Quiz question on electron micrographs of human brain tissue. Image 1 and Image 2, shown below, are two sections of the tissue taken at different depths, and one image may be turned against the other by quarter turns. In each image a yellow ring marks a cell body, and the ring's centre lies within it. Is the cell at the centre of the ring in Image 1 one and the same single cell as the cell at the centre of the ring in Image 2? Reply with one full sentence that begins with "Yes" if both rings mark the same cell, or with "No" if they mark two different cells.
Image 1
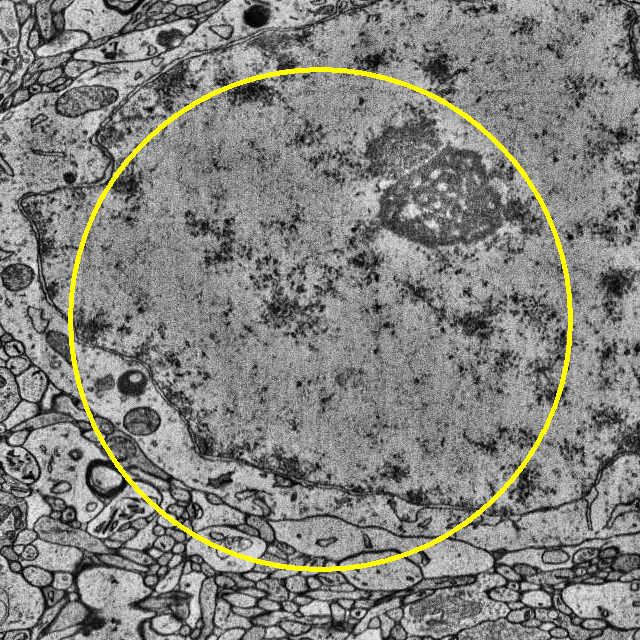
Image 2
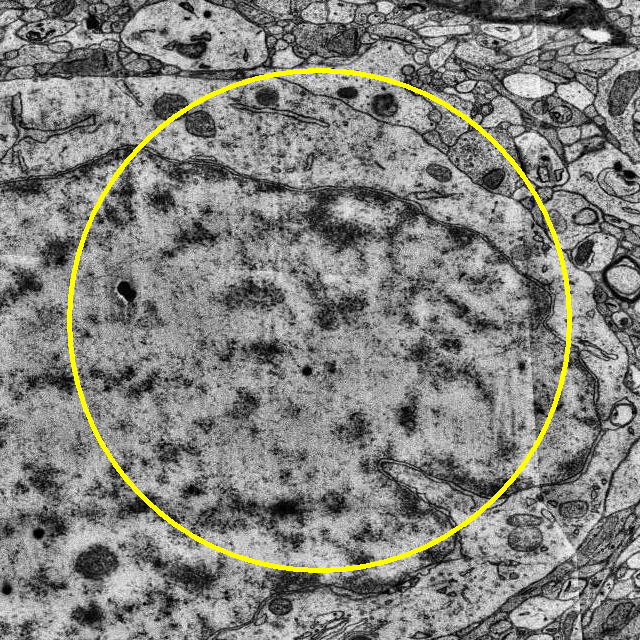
Yes, both rings identify a single, shared cell.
